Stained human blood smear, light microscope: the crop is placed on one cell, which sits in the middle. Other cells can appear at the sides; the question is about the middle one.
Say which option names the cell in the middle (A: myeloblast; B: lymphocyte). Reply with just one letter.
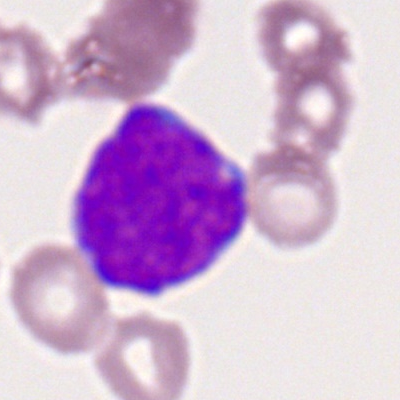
A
